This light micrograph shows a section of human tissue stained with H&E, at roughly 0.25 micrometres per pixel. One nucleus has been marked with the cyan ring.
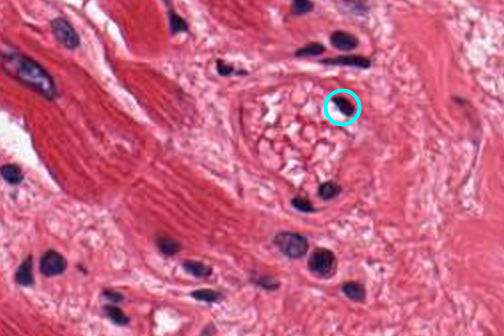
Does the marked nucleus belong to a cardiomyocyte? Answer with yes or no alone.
no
